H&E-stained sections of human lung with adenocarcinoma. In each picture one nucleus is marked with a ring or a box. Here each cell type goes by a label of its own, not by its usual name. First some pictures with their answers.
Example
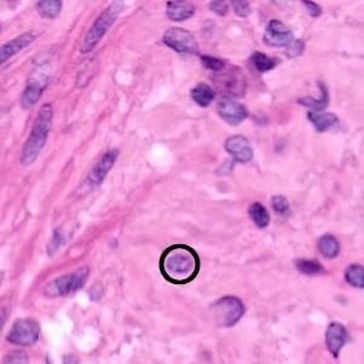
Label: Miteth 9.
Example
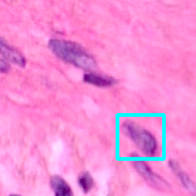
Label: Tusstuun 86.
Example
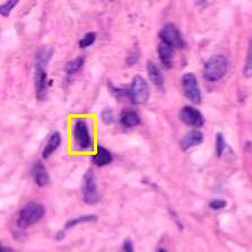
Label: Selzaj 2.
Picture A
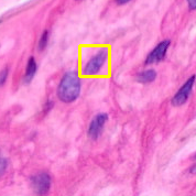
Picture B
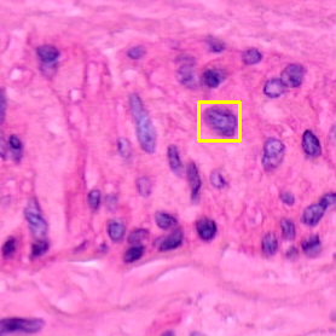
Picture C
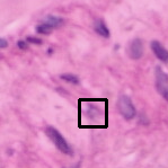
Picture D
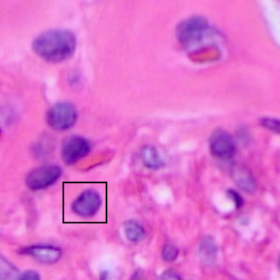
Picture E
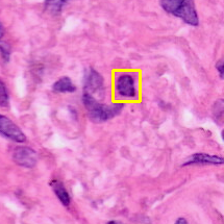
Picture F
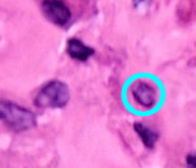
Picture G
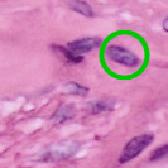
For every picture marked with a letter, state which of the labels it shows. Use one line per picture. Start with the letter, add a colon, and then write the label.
A: Tusstuun 86.
B: Tusstuun 86.
C: Tusstuun 86.
D: Miteth 9.
E: Miteth 9.
F: Miteth 9.
G: Miteth 9.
